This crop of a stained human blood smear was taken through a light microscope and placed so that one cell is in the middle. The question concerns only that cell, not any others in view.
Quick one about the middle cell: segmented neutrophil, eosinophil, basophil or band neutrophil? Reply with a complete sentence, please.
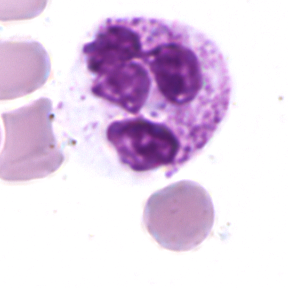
The center cell of this crop is a segmented neutrophil.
